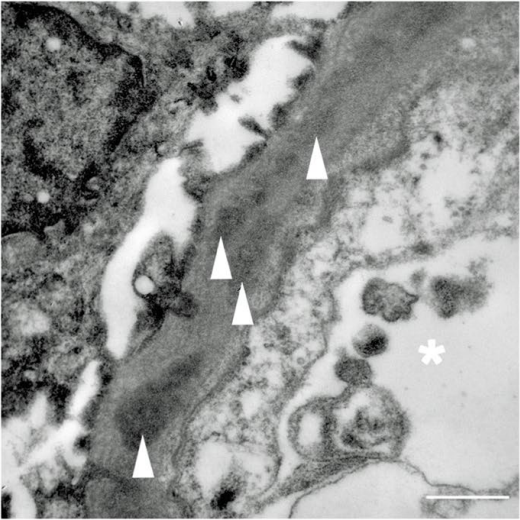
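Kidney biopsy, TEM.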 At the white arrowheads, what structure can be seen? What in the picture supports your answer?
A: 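Electron dense deposits. Several arrowheads point at small darker spots along a grey membrane band.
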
